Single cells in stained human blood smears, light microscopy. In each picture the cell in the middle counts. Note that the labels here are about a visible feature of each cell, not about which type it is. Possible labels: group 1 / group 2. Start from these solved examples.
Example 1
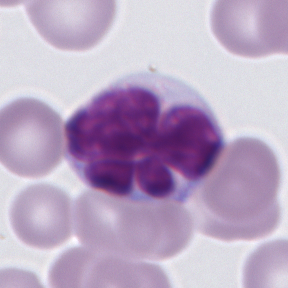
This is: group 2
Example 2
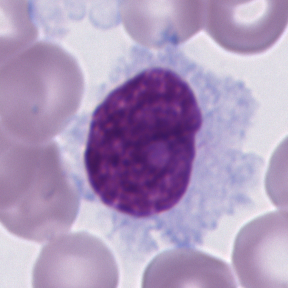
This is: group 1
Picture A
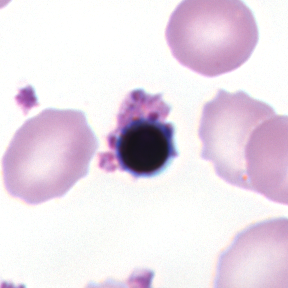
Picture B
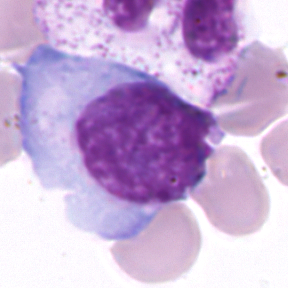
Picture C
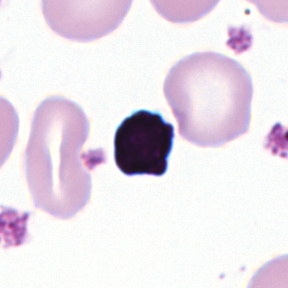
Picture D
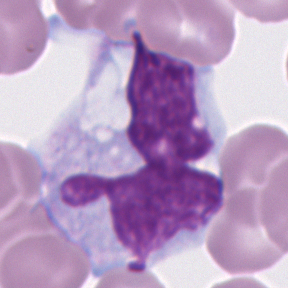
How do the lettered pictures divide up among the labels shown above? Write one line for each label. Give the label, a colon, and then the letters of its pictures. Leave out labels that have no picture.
group 1: B, D
group 2: A, C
